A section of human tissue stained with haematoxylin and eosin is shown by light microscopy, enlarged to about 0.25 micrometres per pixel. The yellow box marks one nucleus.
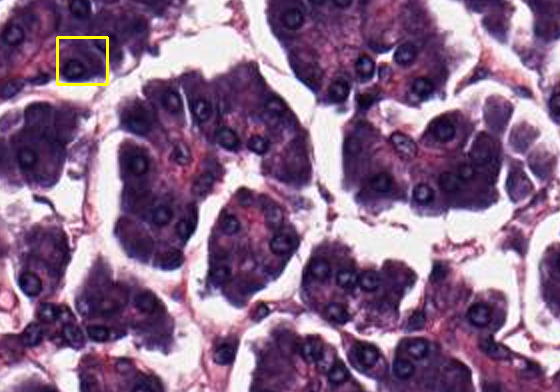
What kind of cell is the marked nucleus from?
pancreatic acinar cell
